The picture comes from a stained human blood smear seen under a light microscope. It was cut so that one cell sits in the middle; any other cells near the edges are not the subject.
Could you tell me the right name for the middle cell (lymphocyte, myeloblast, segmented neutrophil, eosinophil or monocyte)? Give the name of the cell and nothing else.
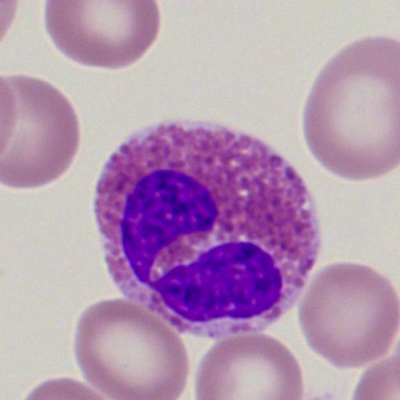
eosinophil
